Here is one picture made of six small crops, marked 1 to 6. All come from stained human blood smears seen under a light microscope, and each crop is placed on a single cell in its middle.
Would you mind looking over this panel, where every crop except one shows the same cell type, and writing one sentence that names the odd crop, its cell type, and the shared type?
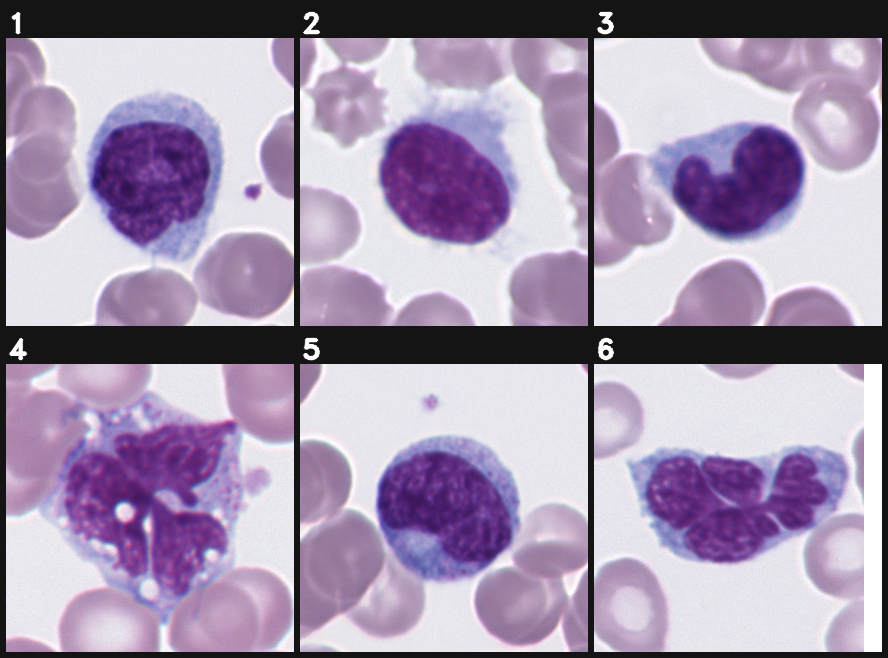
All crops show monocytes except crop 2, which is a hairy cell.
